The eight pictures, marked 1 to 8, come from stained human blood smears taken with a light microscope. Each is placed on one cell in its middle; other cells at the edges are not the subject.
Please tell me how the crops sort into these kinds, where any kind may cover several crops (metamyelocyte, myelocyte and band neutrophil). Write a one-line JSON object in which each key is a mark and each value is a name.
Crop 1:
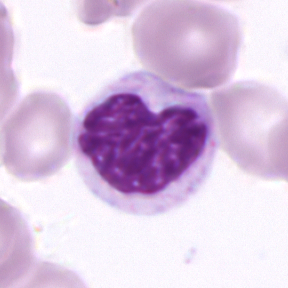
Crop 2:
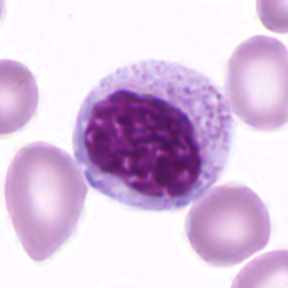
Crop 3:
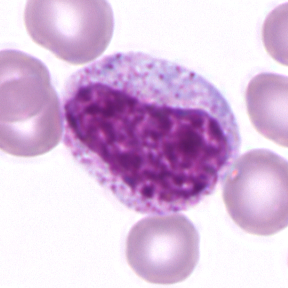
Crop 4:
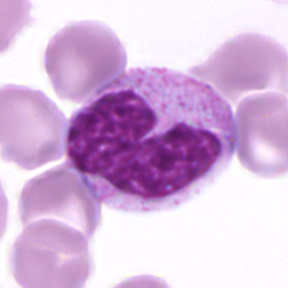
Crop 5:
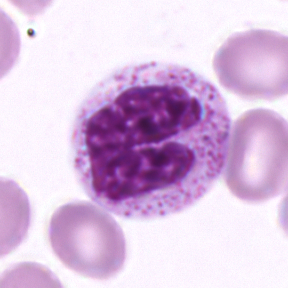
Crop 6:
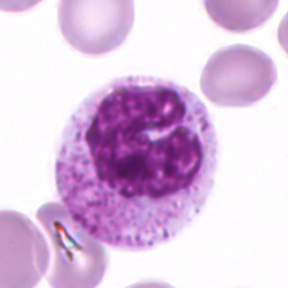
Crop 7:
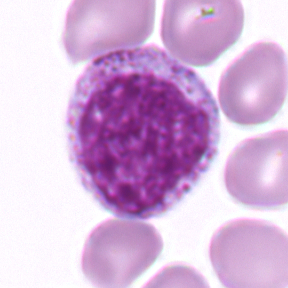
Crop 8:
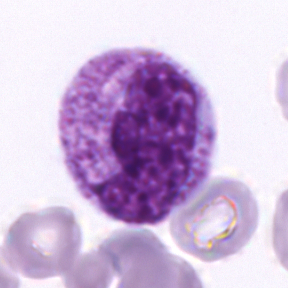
{"1": "metamyelocyte", "2": "metamyelocyte", "3": "metamyelocyte", "4": "band neutrophil", "5": "band neutrophil", "6": "band neutrophil", "7": "myelocyte", "8": "metamyelocyte"}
